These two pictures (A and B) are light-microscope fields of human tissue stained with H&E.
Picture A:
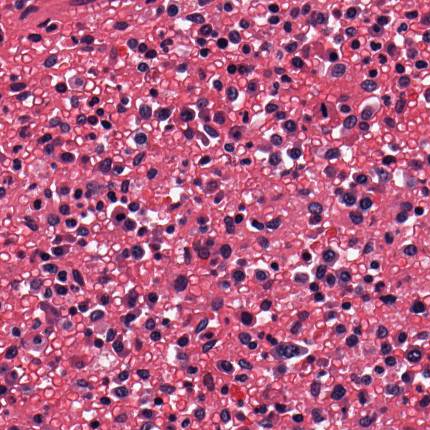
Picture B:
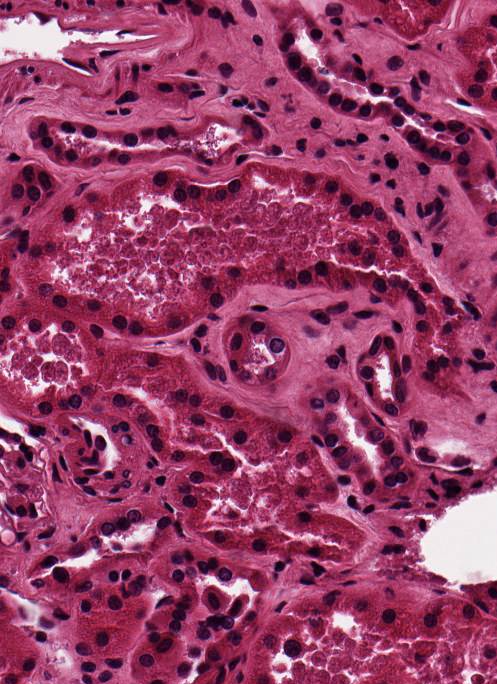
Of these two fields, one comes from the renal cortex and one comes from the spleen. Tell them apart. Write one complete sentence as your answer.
Picture A comes from the spleen and picture B comes from the renal cortex.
